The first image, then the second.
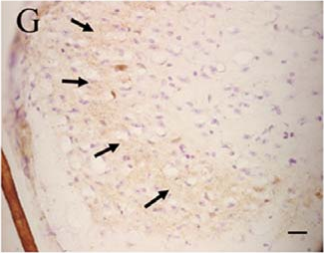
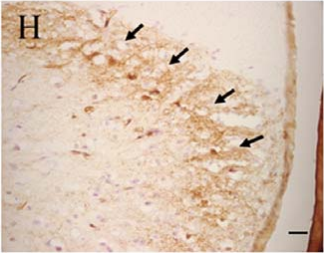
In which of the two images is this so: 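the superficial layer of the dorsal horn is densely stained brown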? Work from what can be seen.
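Second image: a dense brown band with fibers and puncta runs along the outer margin of the grey matter. First image: the superficial band is only faintly brown. On this evidence: the second image.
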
